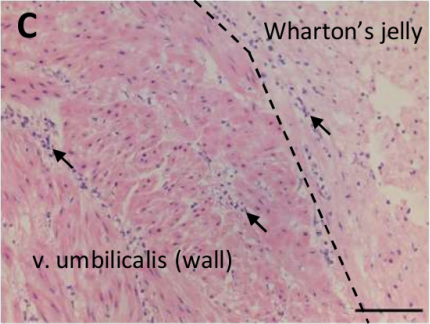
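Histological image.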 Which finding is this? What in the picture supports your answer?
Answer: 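Funisitis. Clusters of small dark-nucleated inflammatory cells lie within the vessel wall and along its border with the surrounding jelly.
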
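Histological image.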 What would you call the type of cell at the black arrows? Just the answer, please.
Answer: Neutrophilic granulocytes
